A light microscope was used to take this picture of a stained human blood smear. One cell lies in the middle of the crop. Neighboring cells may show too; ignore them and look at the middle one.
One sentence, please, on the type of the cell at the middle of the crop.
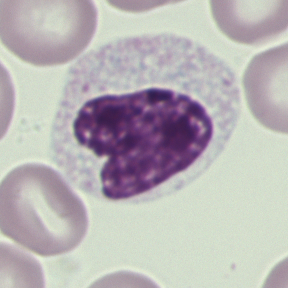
The cell occupying the middle of the crop is a band neutrophil.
